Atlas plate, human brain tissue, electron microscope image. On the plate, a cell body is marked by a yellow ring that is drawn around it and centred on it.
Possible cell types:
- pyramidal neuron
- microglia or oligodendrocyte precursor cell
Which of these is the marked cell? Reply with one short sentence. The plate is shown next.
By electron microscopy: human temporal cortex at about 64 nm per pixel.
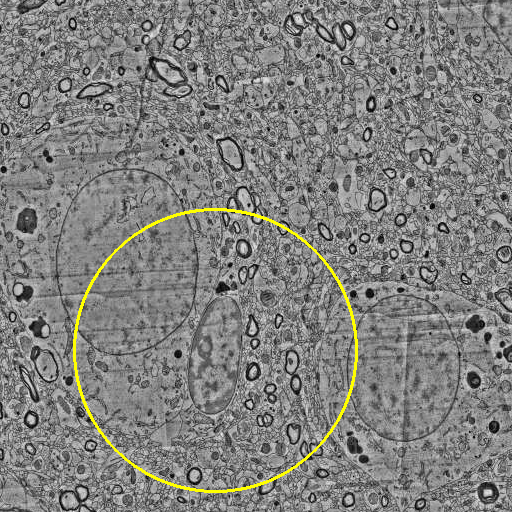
The marked cell is a microglial cell or oligodendrocyte precursor cell.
